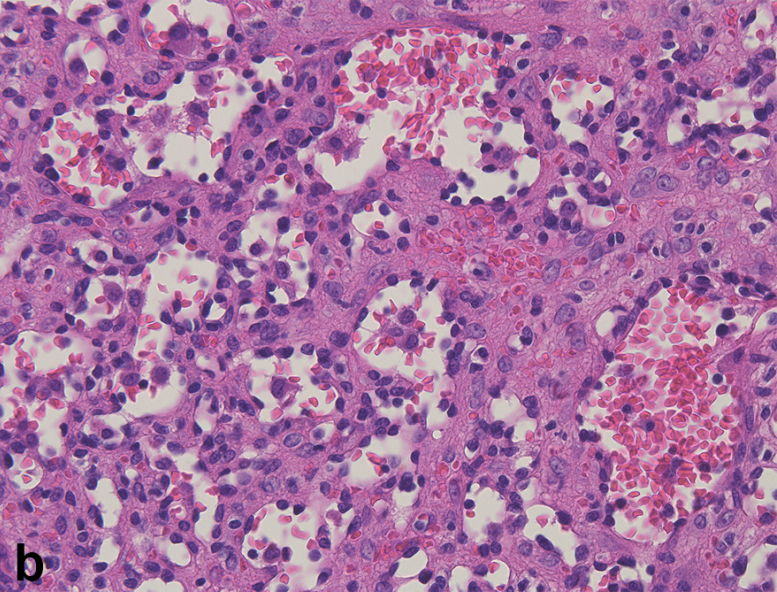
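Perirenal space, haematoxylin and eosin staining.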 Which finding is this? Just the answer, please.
Anastomosing proliferation of various-sized capillary vessels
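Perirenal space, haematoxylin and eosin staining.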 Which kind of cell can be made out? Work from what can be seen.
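Dark nuclei bulge into the lumina of the vascular spaces. Lining cells stand out individually along the spaces rather than lying flat.
Answer: hobnail endothelial cells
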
